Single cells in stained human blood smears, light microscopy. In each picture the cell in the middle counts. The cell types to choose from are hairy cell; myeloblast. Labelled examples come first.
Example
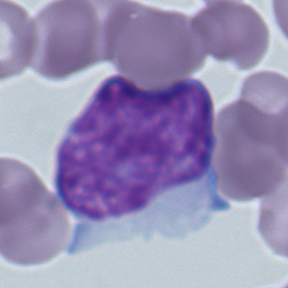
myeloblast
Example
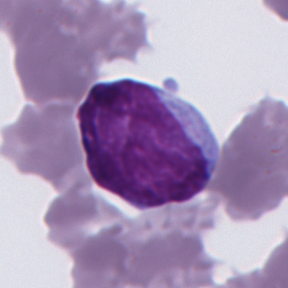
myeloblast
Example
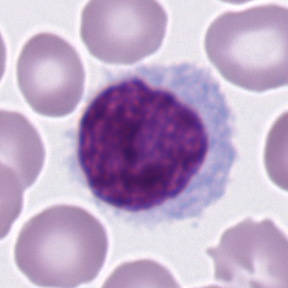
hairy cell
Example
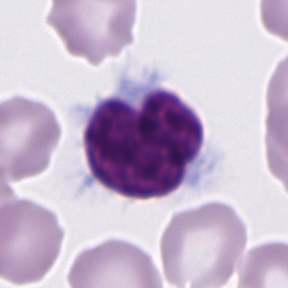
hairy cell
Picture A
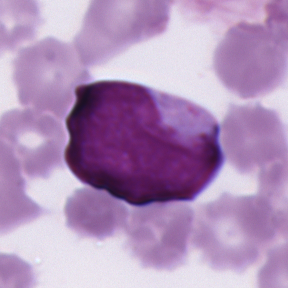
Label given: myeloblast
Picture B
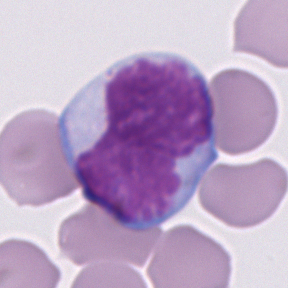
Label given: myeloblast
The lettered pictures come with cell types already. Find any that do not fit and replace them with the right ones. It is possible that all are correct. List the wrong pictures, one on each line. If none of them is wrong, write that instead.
None of the labels needs changing.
